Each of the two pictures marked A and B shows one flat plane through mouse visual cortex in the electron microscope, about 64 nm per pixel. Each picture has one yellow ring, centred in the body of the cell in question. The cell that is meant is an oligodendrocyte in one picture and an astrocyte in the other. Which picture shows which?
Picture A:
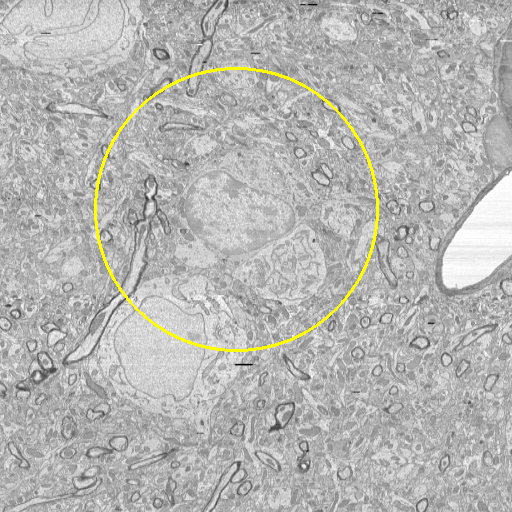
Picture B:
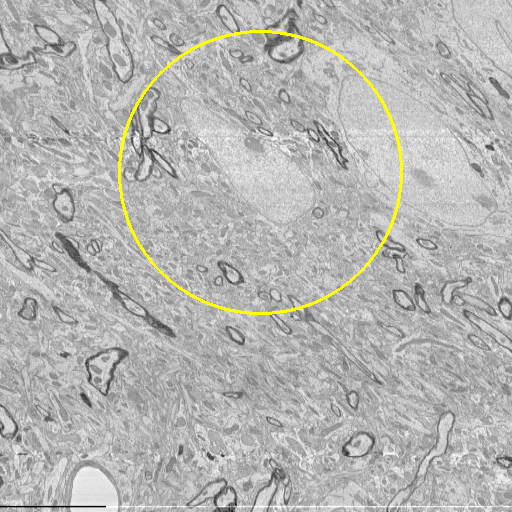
Picture A is of an oligodendrocyte, and picture B is of an astrocyte.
